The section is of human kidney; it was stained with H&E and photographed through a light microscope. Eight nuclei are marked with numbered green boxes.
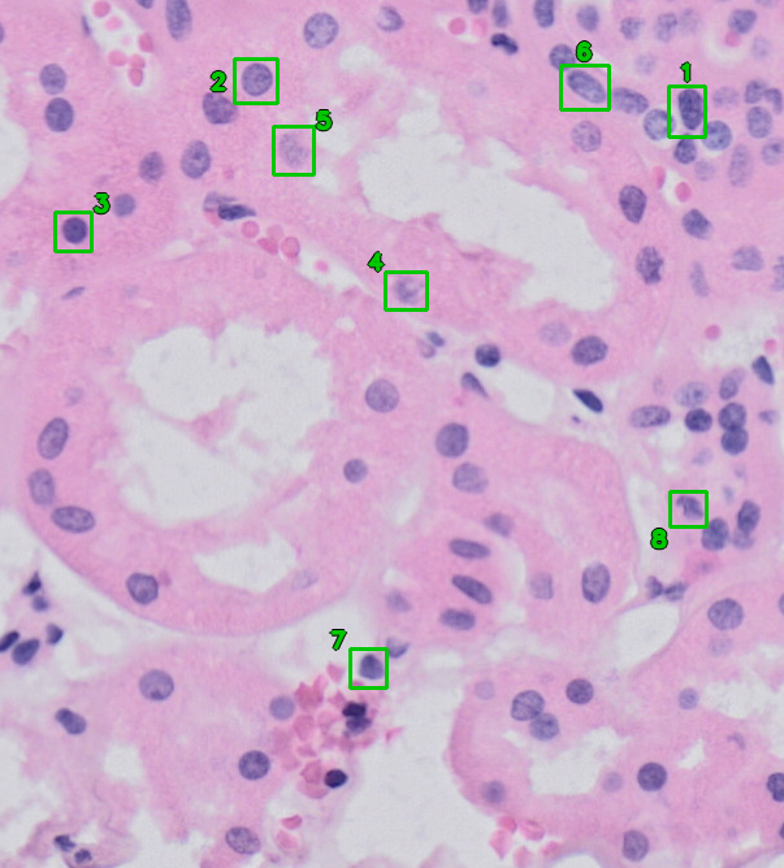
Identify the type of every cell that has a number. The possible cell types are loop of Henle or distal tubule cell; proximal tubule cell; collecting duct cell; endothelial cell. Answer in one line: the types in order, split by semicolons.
collecting duct cell; proximal tubule cell; proximal tubule cell; proximal tubule cell; proximal tubule cell; collecting duct cell; endothelial cell; collecting duct cell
